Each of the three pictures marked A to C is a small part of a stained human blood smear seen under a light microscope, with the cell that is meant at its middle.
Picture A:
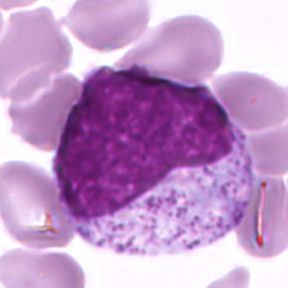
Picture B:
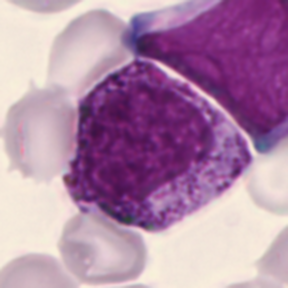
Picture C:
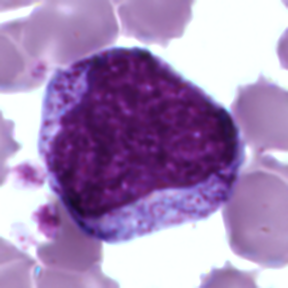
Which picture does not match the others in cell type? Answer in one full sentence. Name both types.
Picture C differs, because its cell is a promyelocyte and the rest are myelocytes.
